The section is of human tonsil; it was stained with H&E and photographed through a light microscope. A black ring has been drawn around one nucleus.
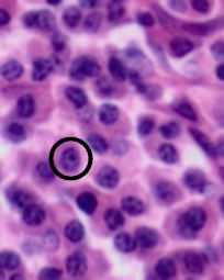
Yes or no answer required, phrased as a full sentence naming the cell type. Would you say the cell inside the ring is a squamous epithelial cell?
No, the cell inside the ring is recognized as a plasma cell rather than a squamous epithelial cell.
